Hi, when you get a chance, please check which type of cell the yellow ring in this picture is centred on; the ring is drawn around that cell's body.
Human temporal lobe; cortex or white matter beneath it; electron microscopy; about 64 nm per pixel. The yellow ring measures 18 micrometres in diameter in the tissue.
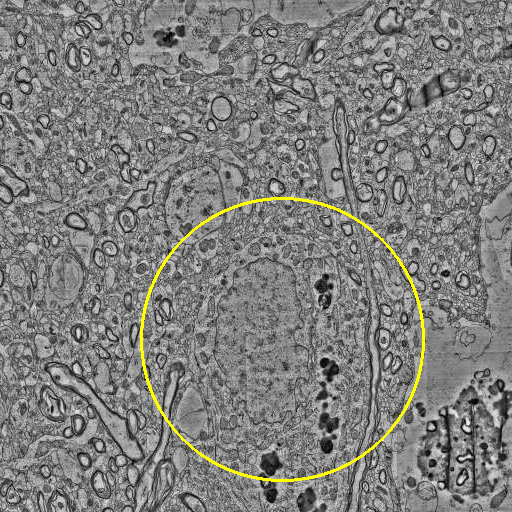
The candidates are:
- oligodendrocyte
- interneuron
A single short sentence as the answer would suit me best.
The ring is drawn around the body of an interneuron.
